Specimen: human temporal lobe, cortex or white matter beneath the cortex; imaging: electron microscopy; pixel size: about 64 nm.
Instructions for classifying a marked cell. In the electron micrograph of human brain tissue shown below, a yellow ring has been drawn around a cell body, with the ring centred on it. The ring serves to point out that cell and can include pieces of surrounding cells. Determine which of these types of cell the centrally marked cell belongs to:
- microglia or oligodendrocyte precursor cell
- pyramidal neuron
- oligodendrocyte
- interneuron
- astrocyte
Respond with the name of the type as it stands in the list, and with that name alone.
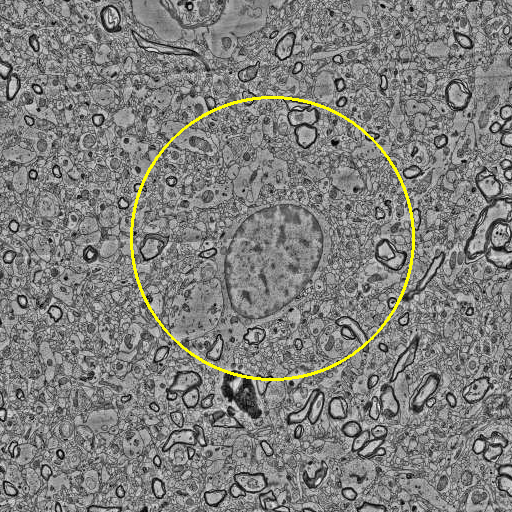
oligodendrocyte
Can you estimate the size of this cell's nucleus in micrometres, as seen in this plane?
The nucleus has a long axis of about 8 micrometres and a short axis of about 6 micrometres in this plane.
